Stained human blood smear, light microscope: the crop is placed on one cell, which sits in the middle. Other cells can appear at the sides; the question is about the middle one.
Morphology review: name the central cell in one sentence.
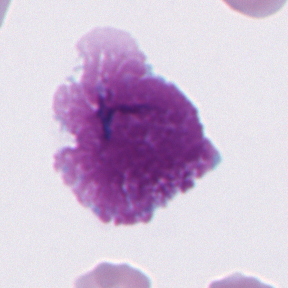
Standing at the centre of this crop is a smudge cell.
